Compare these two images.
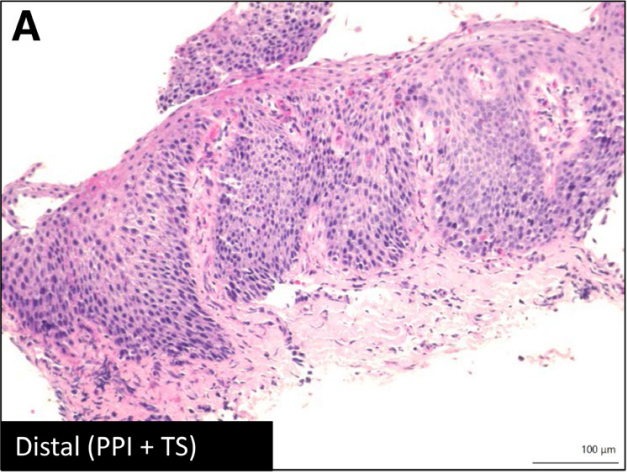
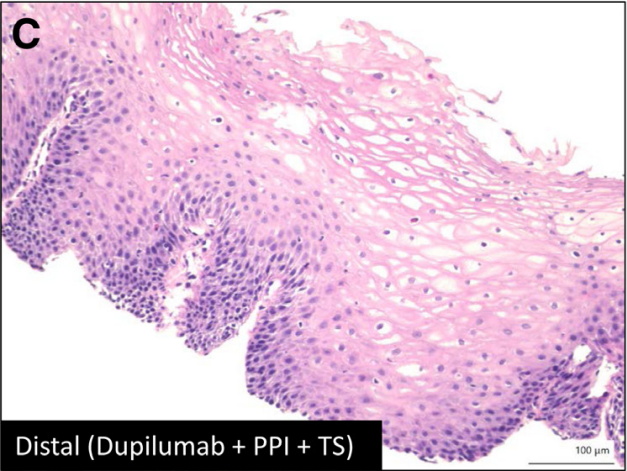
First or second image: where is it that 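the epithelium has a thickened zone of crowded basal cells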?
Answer: The first image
